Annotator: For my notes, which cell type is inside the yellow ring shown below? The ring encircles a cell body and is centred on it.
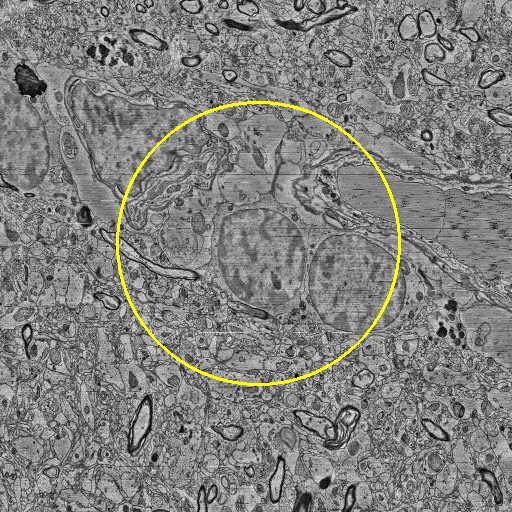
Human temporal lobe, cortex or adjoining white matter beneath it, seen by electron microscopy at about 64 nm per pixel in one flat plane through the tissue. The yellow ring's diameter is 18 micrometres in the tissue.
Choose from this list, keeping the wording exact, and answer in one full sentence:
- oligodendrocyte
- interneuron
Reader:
At the centre of the yellow ring there is an oligodendrocyte, as shown in the picture.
